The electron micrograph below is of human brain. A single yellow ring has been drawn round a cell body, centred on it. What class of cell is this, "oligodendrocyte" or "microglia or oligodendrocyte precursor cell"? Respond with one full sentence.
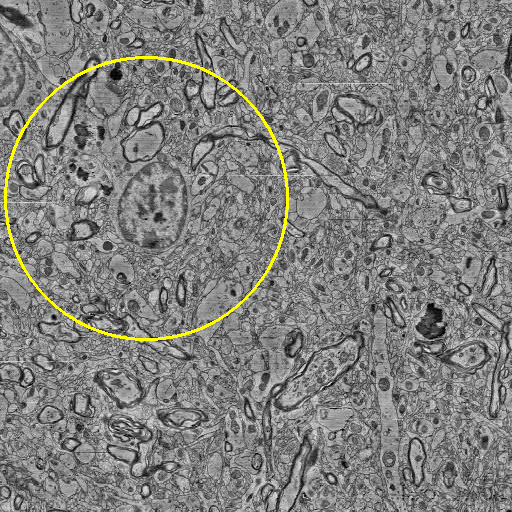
In the micrograph, the cell centred inside the yellow ring is an oligodendrocyte.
